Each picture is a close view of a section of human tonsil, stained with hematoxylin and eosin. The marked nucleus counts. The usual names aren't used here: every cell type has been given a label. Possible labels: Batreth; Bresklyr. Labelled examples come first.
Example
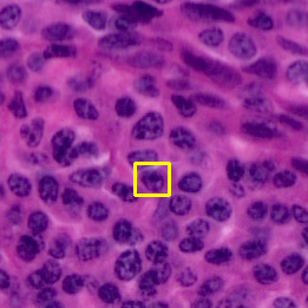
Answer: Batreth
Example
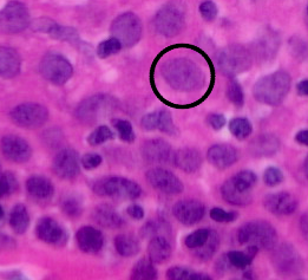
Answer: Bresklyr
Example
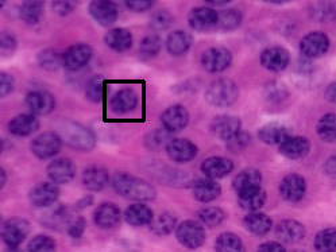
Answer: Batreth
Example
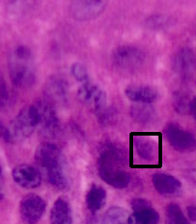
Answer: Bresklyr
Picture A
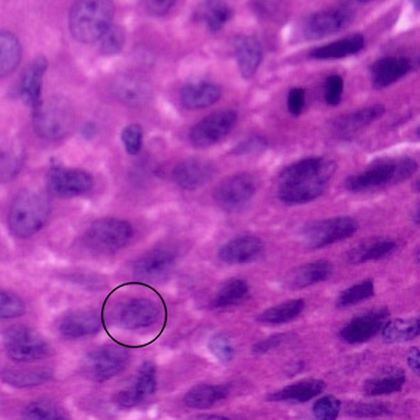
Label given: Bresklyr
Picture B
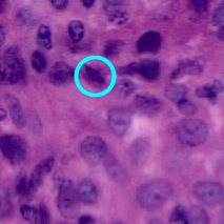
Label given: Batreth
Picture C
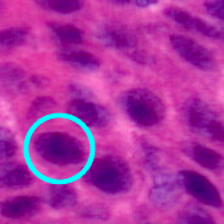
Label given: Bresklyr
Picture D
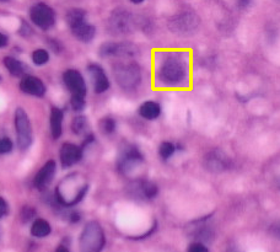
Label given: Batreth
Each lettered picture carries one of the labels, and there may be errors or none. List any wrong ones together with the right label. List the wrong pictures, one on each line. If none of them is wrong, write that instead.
Wrong: B (Batreth); correct: Bresklyr
Wrong: D (Batreth); correct: Bresklyr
